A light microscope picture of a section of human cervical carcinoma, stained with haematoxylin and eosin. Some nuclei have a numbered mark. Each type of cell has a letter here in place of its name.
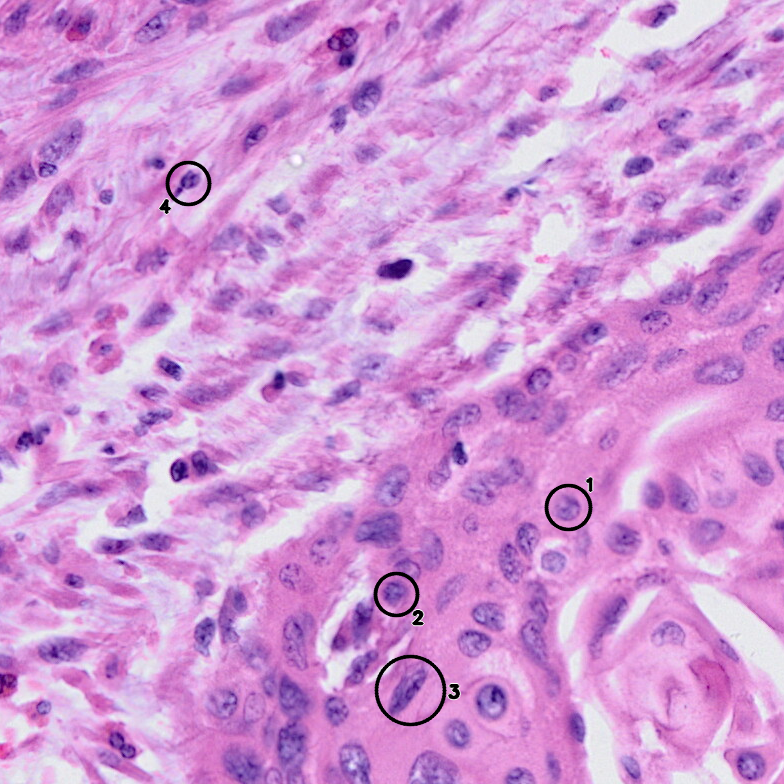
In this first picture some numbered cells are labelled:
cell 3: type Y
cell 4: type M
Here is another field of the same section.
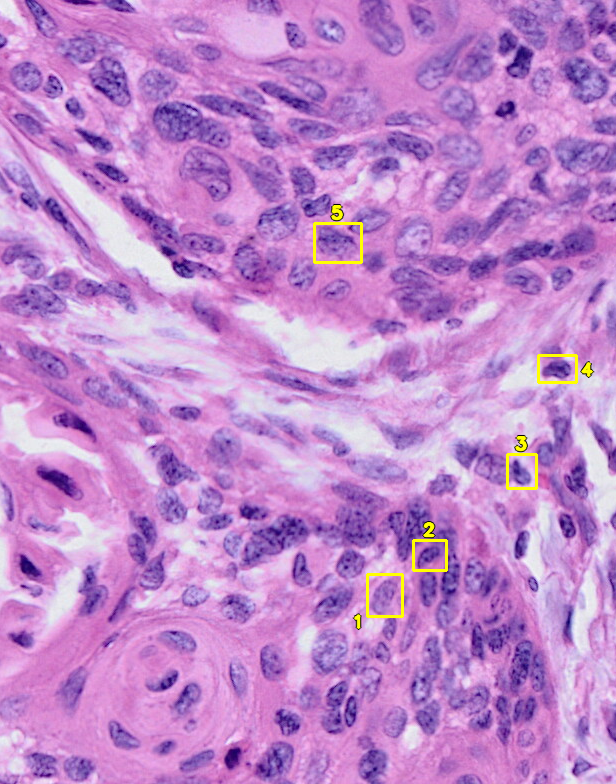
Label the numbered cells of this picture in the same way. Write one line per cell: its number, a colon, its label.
1: type Y
2: type Y
3: type M
4: type M
5: type Y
